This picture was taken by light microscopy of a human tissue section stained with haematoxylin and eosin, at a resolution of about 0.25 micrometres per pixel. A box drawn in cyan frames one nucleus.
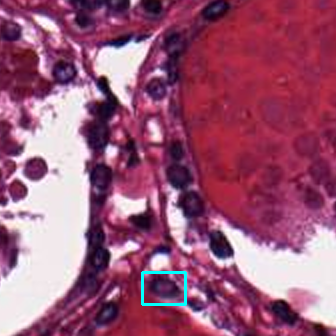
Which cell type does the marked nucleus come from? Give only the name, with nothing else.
thyroid follicular cell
